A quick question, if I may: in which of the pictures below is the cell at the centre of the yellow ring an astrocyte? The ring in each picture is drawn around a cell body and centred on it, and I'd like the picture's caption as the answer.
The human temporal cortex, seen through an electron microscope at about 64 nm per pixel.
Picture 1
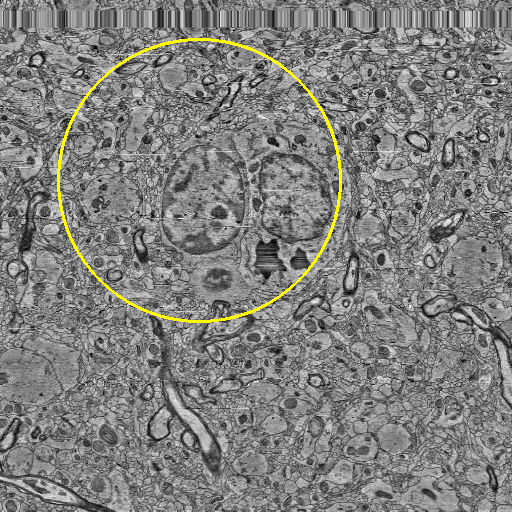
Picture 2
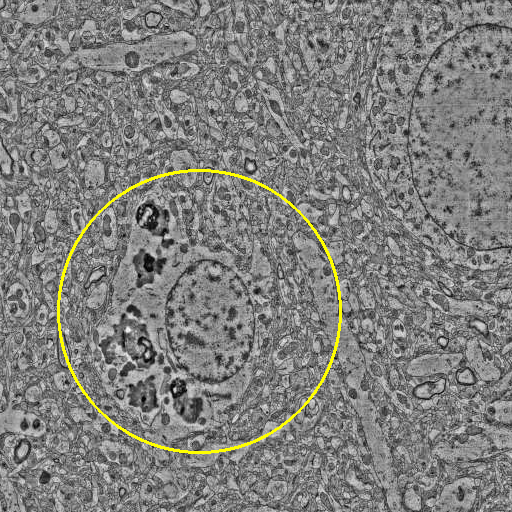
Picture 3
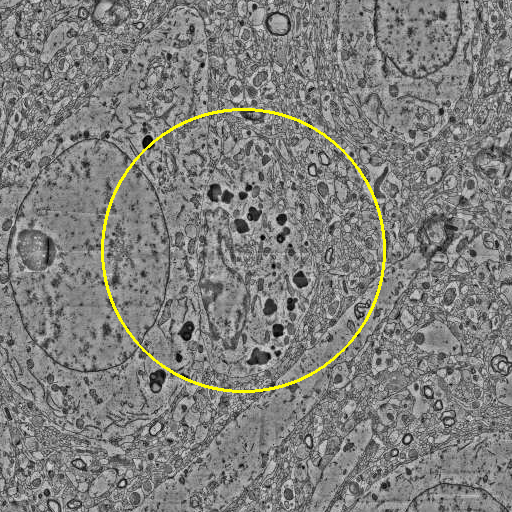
Picture 2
